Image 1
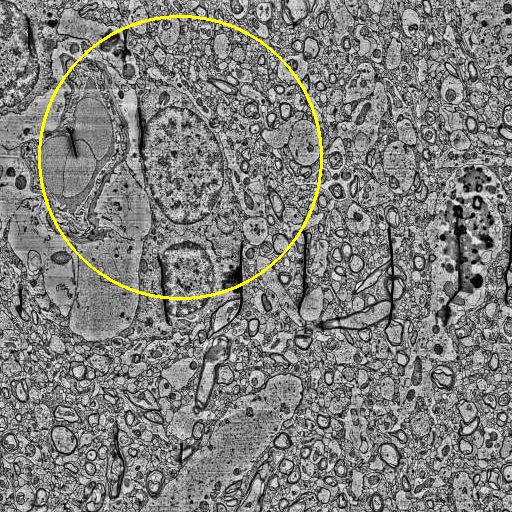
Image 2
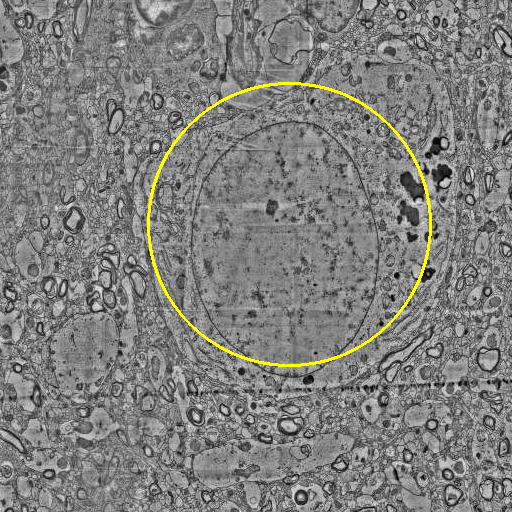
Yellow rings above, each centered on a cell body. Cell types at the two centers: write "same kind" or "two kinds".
two kinds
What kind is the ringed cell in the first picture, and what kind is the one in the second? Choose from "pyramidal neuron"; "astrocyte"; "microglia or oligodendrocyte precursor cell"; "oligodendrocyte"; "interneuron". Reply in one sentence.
The first cell is an oligodendrocyte; the second is a pyramidal neuron.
